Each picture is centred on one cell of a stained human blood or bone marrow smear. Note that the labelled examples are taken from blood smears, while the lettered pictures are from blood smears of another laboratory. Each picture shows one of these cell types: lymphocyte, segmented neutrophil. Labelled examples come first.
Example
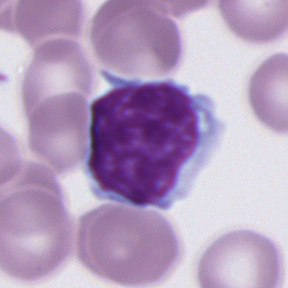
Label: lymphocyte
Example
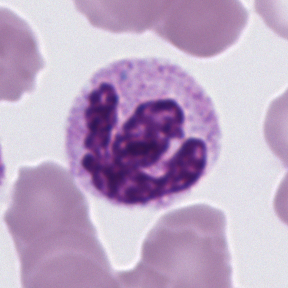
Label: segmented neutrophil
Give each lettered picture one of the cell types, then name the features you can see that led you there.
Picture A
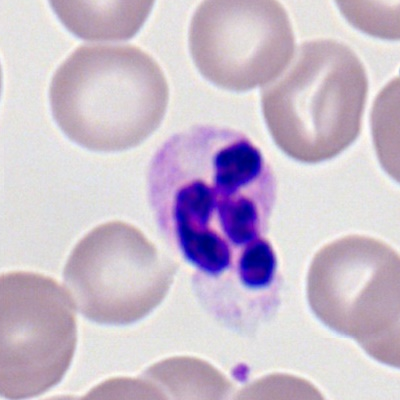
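Answer: segmented neutrophil. The cytoplasm is plentiful and pale pinkish-lilac.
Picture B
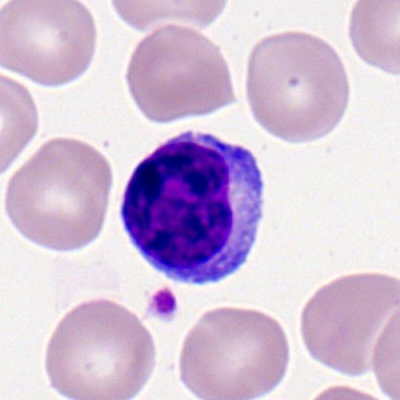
Answer: lymphocyte. The nucleus is a single unlobed mass that fills most of the cell.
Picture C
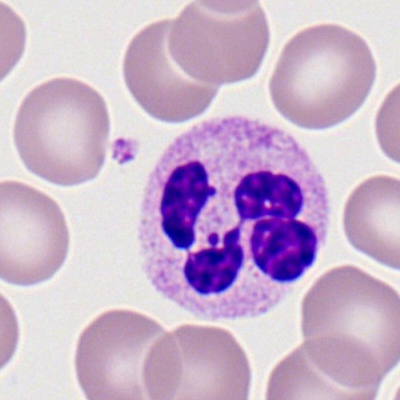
Answer: segmented neutrophil. The nucleus is divided into several separate lobes.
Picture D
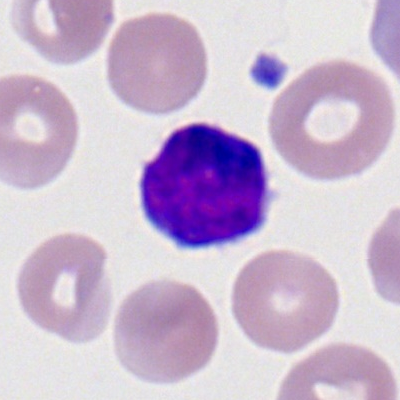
Answer: lymphocyte. The cytoplasm is scant, at most a thin rim at the edge of the nucleus.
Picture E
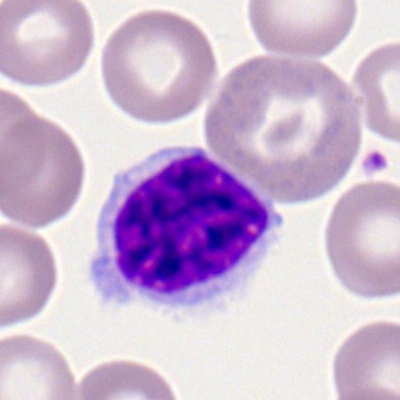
Answer: lymphocyte. The nucleus fills most of the cell.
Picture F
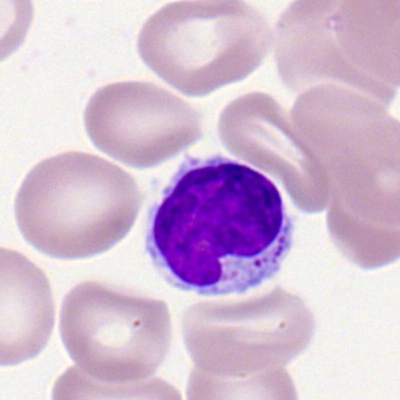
Answer: lymphocyte. The nucleus fills most of the cell.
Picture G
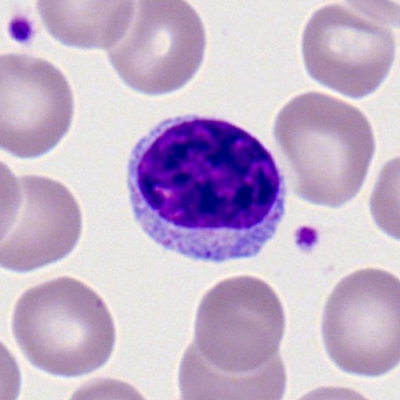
Answer: lymphocyte. The nucleus fills most of the cell.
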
